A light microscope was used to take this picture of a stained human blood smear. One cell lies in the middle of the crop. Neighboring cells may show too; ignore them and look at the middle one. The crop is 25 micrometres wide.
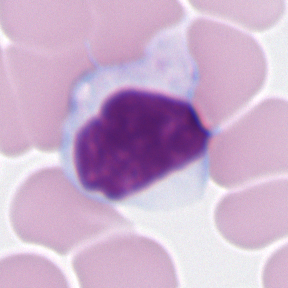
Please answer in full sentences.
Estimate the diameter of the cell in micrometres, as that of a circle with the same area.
About 11 micrometres: that is the cell's diameter.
